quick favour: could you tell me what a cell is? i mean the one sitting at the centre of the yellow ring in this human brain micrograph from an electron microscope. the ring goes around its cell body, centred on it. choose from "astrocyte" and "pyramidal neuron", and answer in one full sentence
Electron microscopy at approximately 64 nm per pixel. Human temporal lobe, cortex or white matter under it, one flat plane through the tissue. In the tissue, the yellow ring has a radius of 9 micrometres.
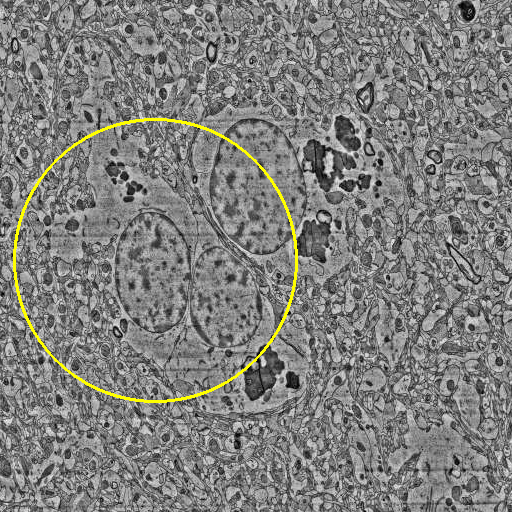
That's an astrocyte, the cell sitting at the centre of the yellow ring.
